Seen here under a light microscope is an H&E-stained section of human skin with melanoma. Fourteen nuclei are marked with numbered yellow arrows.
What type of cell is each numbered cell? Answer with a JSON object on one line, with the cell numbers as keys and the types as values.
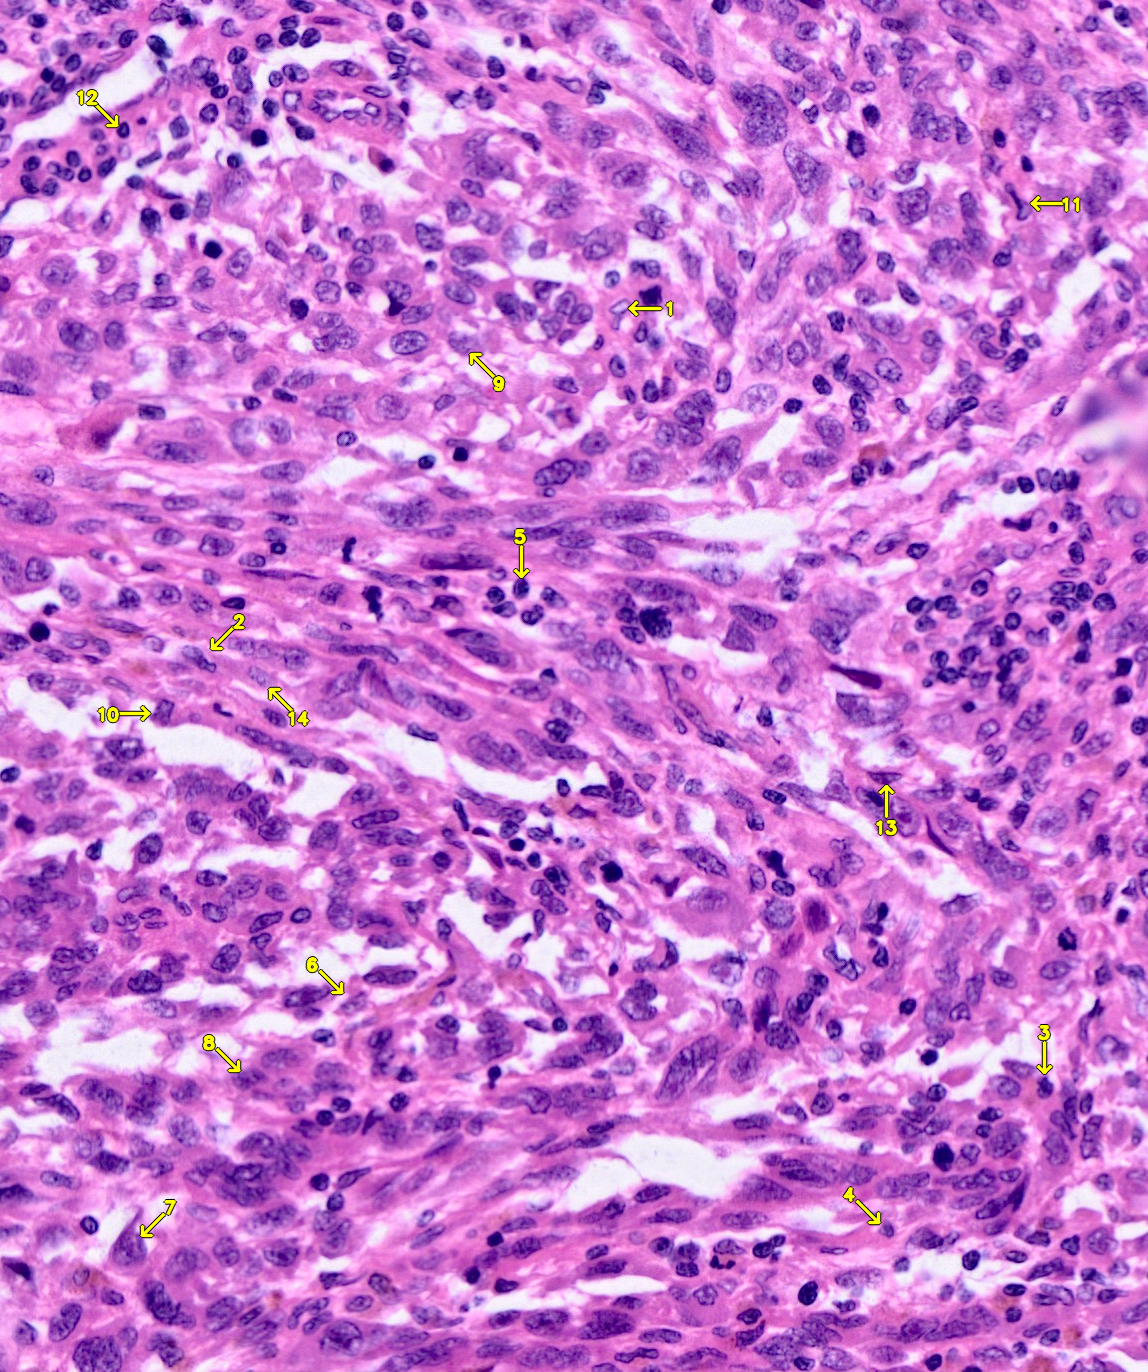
{"1": "endothelial cell", "2": "melanoma cell", "3": "lymphocyte", "4": "lymphocyte", "5": "lymphocyte", "6": "melanoma cell", "7": "melanoma cell", "8": "melanoma cell", "9": "melanoma cell", "10": "melanoma cell", "11": "macrophage or monocyte", "12": "lymphocyte", "13": "melanoma cell", "14": "melanoma cell"}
